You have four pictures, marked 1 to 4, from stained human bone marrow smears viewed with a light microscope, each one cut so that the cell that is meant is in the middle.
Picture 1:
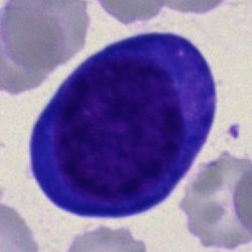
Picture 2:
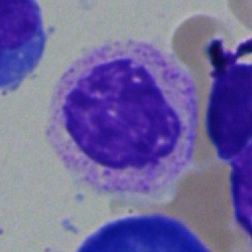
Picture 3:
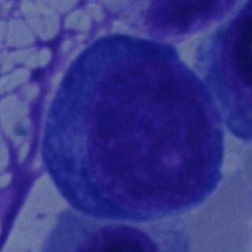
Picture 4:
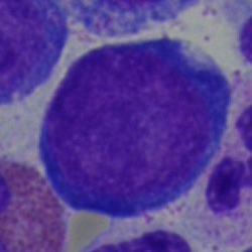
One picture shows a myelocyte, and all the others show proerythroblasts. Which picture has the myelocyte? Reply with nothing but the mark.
2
